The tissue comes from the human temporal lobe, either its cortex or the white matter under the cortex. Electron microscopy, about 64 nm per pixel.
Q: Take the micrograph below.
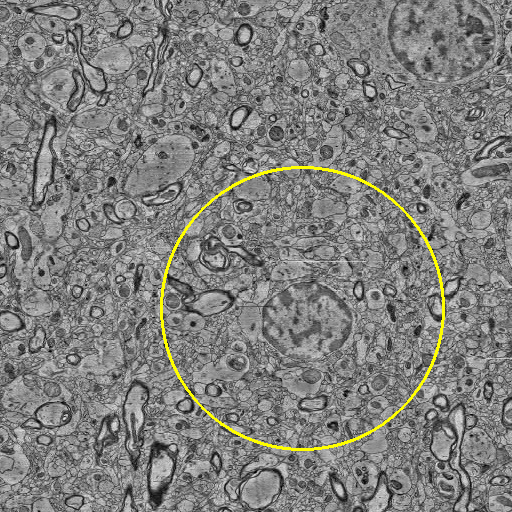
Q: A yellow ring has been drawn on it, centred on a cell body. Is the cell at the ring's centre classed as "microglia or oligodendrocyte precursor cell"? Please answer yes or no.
Yes, that is its kind.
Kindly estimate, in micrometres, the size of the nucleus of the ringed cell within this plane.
The ringed cell's nucleus is about 6 micrometres across in this plane.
